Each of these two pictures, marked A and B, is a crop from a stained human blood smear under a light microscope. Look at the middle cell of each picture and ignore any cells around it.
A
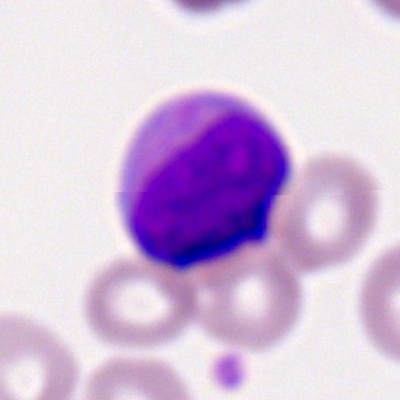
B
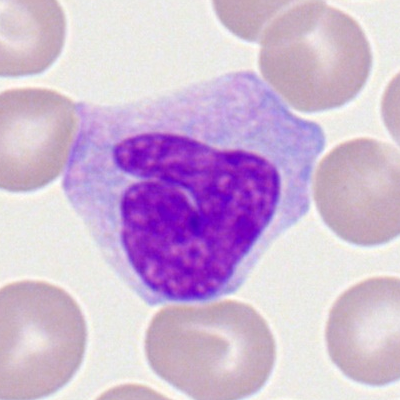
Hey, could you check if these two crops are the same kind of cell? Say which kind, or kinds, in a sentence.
No, crop A gives us a blast and crop B gives us a monocyte.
